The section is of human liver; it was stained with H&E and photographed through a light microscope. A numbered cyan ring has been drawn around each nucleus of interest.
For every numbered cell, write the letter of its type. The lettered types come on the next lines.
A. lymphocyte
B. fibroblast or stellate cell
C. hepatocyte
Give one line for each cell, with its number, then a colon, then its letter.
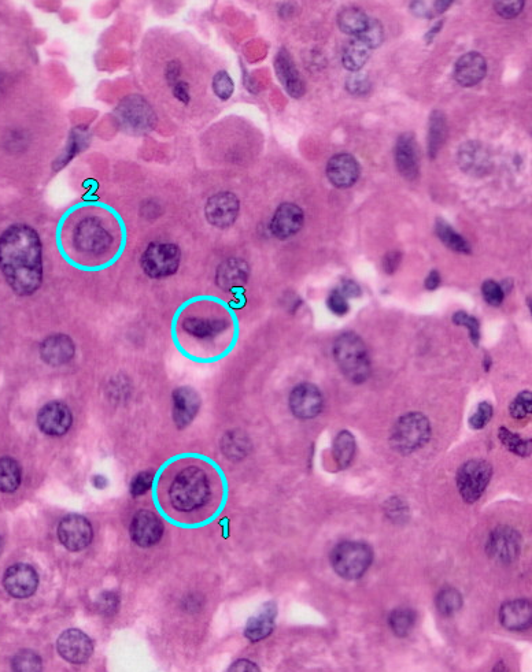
1: C
2: C
3: B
